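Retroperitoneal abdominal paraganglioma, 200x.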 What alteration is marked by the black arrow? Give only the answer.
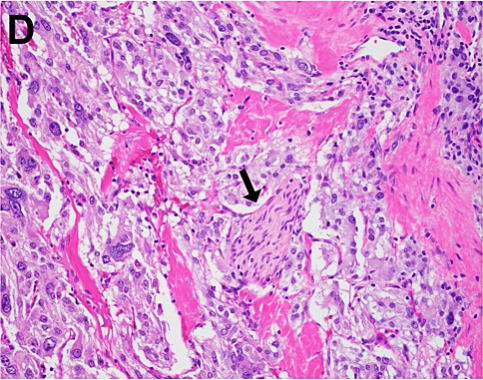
Perineural invasion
